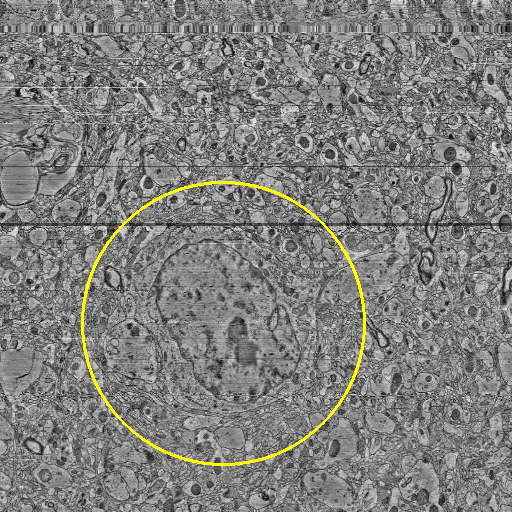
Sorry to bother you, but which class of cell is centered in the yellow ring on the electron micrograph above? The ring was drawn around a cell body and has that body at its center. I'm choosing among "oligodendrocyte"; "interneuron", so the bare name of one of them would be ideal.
interneuron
